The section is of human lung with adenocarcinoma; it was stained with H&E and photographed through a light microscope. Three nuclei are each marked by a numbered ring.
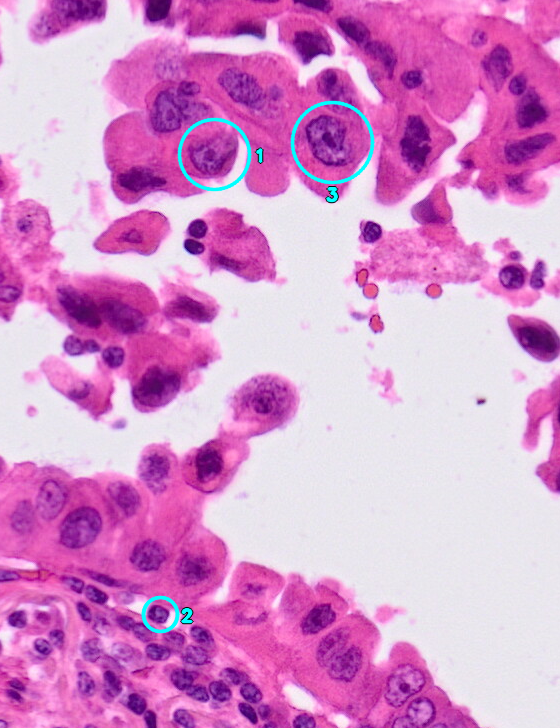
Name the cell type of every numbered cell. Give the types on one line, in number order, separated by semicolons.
carcinoma cell; lymphocyte; carcinoma cell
